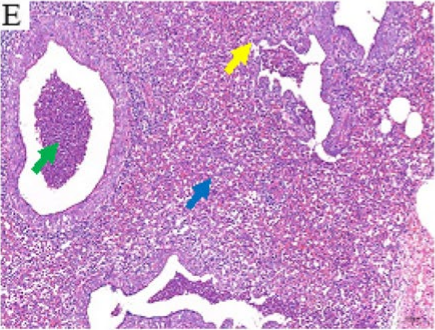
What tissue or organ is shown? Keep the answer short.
Lung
